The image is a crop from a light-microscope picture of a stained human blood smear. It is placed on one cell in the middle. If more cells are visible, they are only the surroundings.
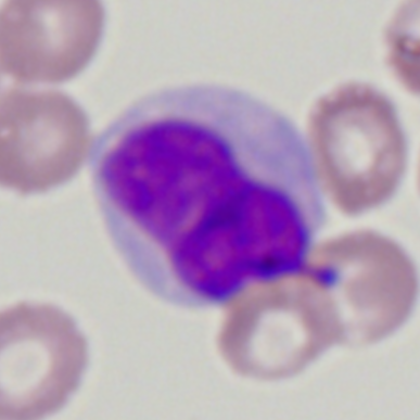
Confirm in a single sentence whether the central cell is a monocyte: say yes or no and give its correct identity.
Yes, the cell that occupies the centre is a monocyte.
